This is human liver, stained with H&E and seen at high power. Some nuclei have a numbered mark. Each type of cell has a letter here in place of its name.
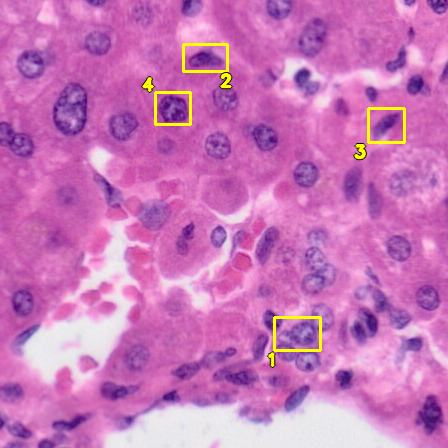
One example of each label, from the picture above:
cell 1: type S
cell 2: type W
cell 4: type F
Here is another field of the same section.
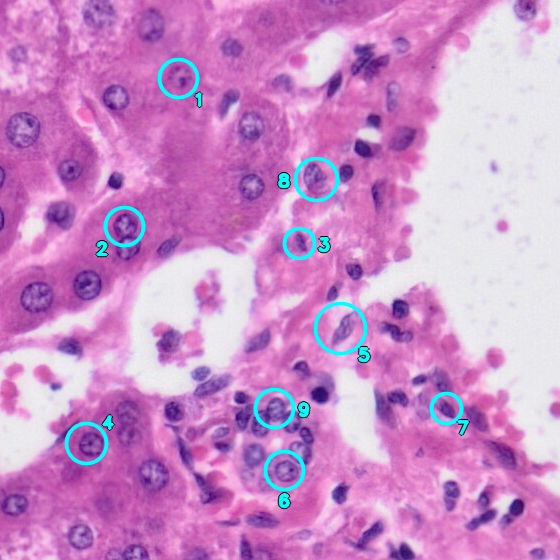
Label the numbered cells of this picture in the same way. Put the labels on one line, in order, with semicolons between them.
type F; type F; type W; type F; type W; type S; type W; type W; type S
